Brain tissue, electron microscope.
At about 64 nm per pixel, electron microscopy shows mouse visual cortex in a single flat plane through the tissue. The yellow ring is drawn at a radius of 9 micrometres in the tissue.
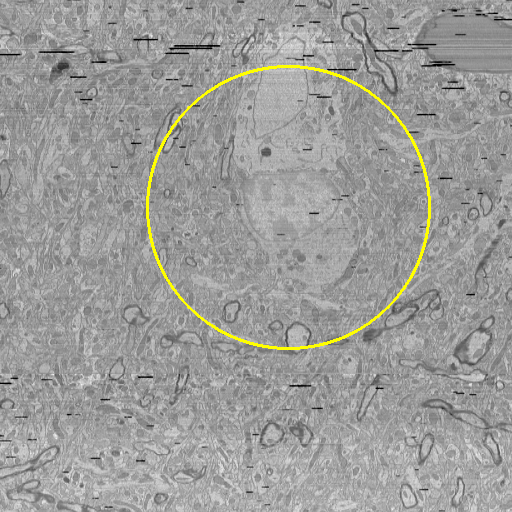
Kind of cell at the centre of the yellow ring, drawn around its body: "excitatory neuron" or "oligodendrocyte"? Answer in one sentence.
The ring's centre falls on an oligodendrocyte.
